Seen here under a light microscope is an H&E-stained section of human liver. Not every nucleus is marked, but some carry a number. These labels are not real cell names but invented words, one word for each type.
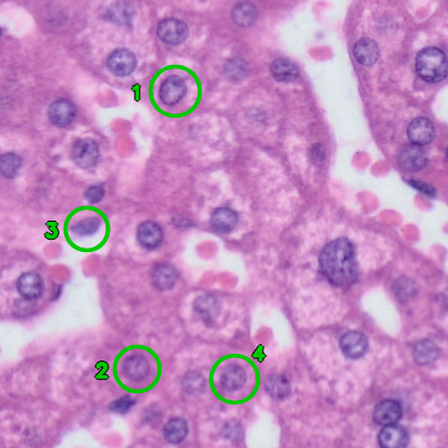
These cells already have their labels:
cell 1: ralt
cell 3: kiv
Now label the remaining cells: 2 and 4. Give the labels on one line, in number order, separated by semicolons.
ralt; ralt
